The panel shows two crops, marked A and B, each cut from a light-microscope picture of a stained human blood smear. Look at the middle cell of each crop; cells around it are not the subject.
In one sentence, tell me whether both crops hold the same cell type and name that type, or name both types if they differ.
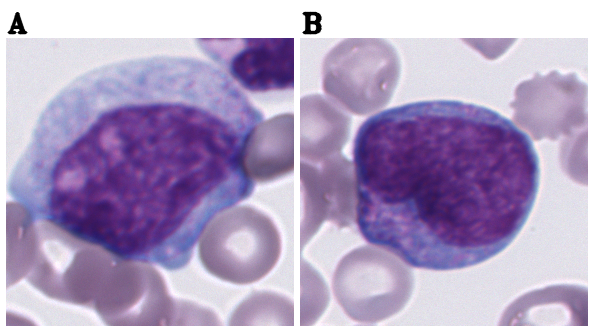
Yes, in the middle of both crops, promyelocytes are shown.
